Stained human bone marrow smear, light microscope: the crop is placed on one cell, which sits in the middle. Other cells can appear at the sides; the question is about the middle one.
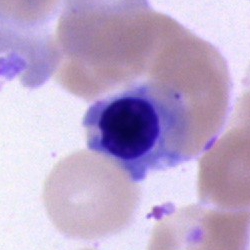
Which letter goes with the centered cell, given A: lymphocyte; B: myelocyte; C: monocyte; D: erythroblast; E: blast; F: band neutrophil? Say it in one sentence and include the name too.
Option D gets it right: the cell in the middle is an erythroblast.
